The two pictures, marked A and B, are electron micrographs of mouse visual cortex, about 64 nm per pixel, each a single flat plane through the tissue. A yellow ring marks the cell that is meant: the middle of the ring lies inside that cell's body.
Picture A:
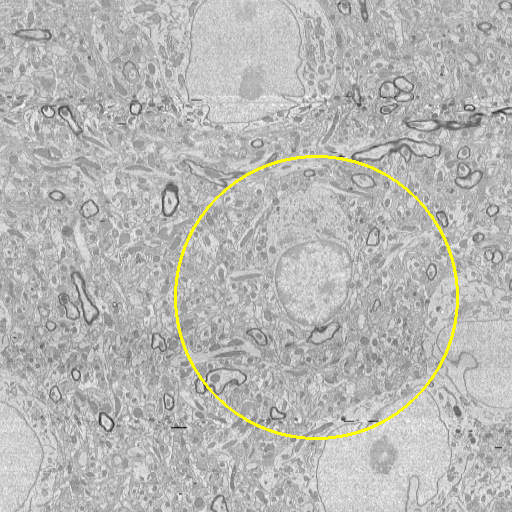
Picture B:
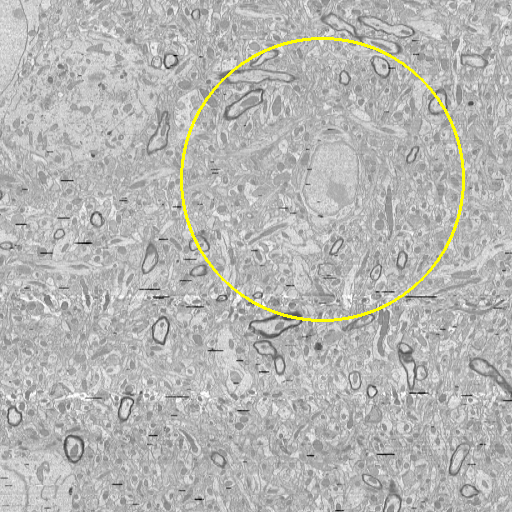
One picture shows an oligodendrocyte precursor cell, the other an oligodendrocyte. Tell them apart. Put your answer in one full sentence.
Picture A is of an oligodendrocyte, and picture B is of an oligodendrocyte precursor cell.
